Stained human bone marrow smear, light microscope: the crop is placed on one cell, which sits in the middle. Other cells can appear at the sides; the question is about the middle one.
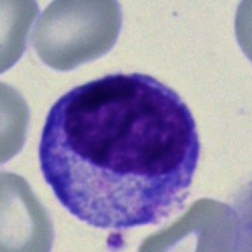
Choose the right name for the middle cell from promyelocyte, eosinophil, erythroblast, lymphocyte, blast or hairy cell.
promyelocyte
